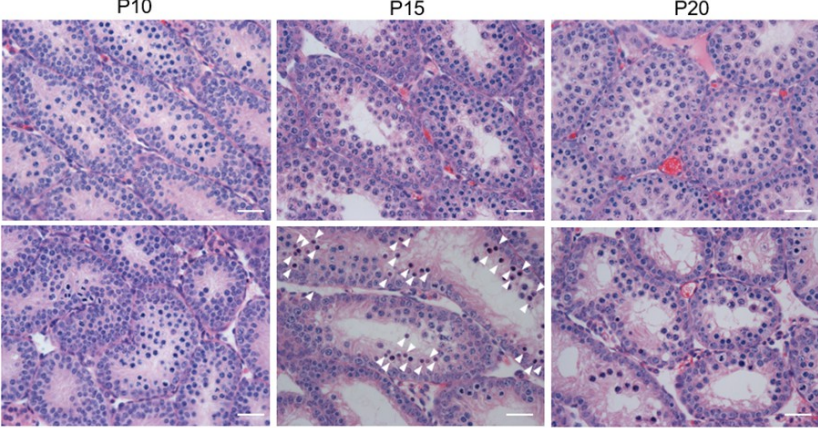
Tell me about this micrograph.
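Six fields of cross-sectioned seminiferous tubules stained in pink and purple, each tubule lined by several layers of germ cells with round purple nuclei and separated by narrow pink interstitial tissue. In the upper fields the epithelium thickens from left to right, with larger, paler round nuclei of spermatocytes filling the layers toward an open lumen. In the lower middle field many cells within the tubules have shrunken, intensely dark, compact nuclei set in pink cytoplasm, and white arrowheads mark them; these are dead spermatocytes. The lower right tubules look thinner, with fewer cell layers around wide clear lumens than the upper right tubules.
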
